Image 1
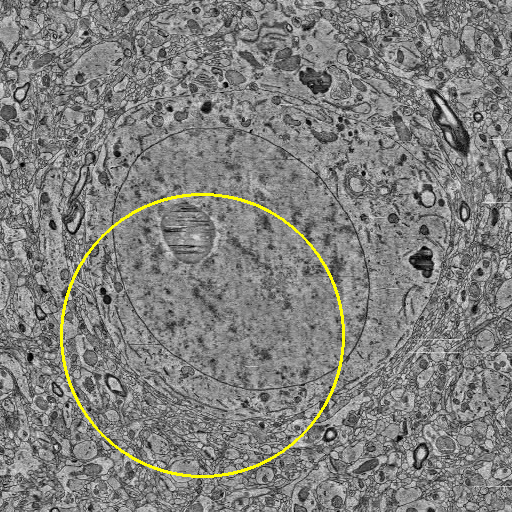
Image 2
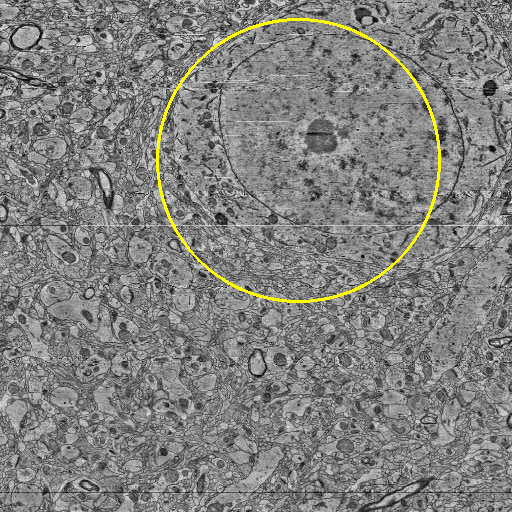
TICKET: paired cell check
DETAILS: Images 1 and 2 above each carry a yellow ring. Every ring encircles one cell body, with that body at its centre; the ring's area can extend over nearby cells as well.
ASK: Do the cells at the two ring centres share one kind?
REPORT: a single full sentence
Yes, the ring-centre cells of Images 1 and 2 belong to a single kind.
